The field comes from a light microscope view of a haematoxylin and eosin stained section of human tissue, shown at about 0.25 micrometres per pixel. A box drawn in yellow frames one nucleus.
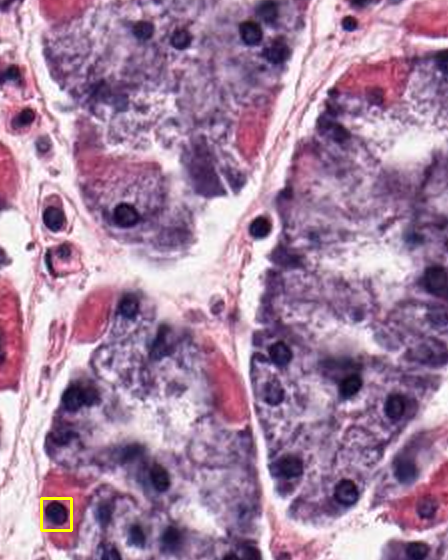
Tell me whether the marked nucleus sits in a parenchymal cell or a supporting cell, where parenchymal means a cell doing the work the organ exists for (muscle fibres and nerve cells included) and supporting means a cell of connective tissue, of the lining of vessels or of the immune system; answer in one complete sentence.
The marked nucleus belongs to a parietal cell, a parenchymal cell.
